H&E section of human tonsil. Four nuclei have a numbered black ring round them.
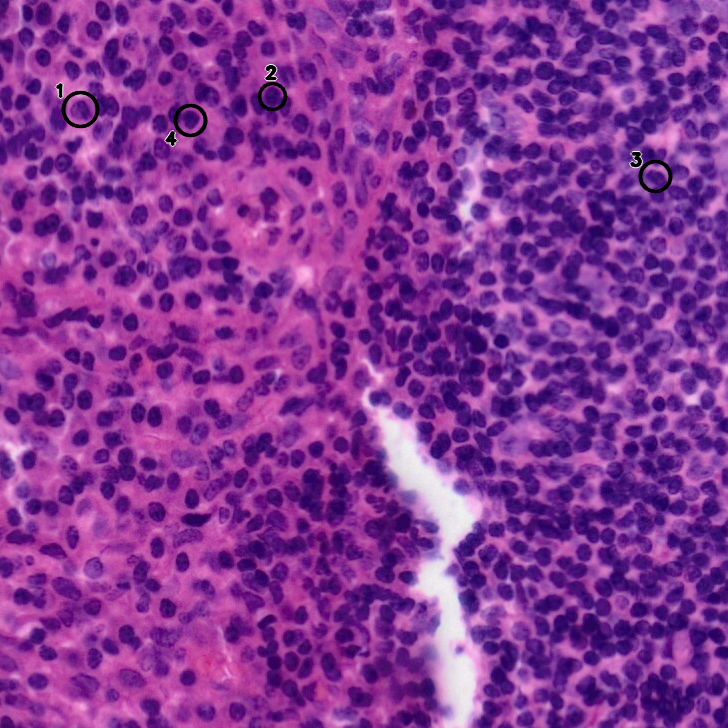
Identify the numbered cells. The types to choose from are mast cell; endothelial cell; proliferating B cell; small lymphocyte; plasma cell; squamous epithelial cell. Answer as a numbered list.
1. plasma cell
2. plasma cell
3. small lymphocyte
4. plasma cell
